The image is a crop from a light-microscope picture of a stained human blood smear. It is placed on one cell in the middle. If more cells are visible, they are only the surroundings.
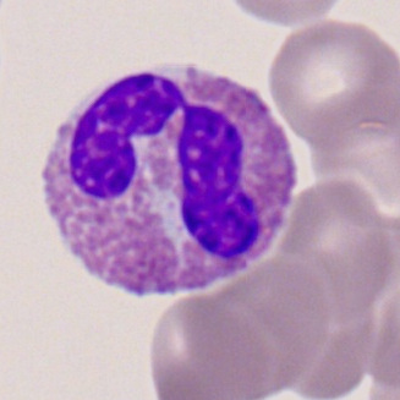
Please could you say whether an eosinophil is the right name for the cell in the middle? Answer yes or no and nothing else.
yes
